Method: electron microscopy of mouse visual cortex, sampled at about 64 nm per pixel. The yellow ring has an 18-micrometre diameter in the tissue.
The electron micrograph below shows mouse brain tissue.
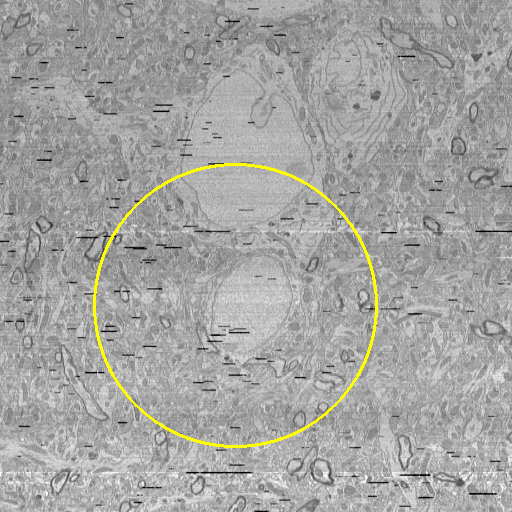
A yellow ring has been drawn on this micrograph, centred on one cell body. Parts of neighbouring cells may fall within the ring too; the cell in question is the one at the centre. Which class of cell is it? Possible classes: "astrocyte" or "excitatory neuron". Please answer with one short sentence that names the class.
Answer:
In the centre of the ring sits an astrocyte.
